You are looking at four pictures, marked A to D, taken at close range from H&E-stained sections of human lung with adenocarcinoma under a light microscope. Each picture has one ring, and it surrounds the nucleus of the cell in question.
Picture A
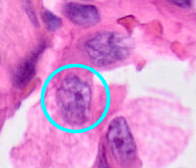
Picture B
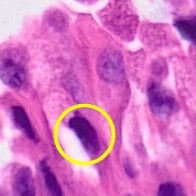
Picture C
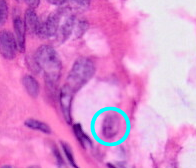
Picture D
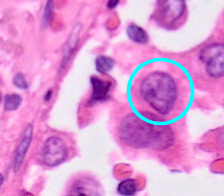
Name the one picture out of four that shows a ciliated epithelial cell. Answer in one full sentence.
Picture C is the one that shows the ciliated epithelial cell.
